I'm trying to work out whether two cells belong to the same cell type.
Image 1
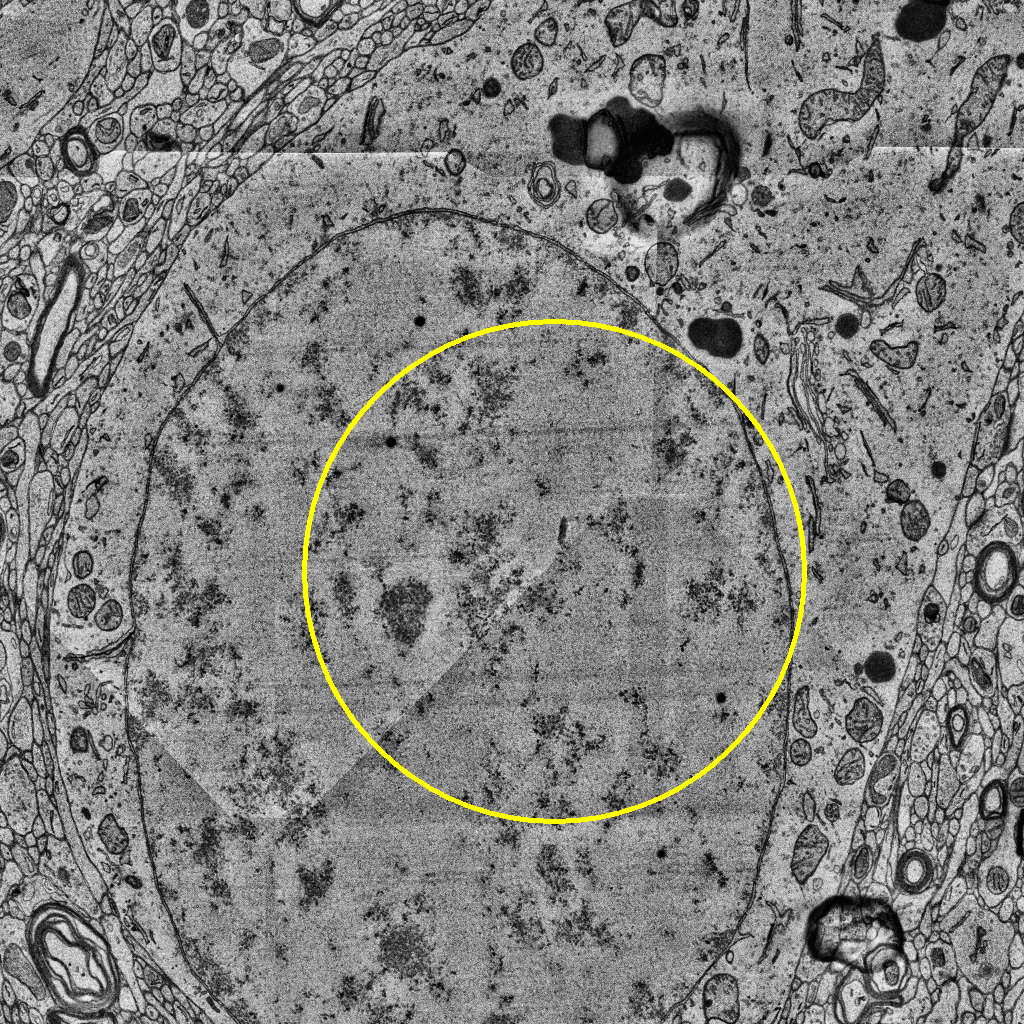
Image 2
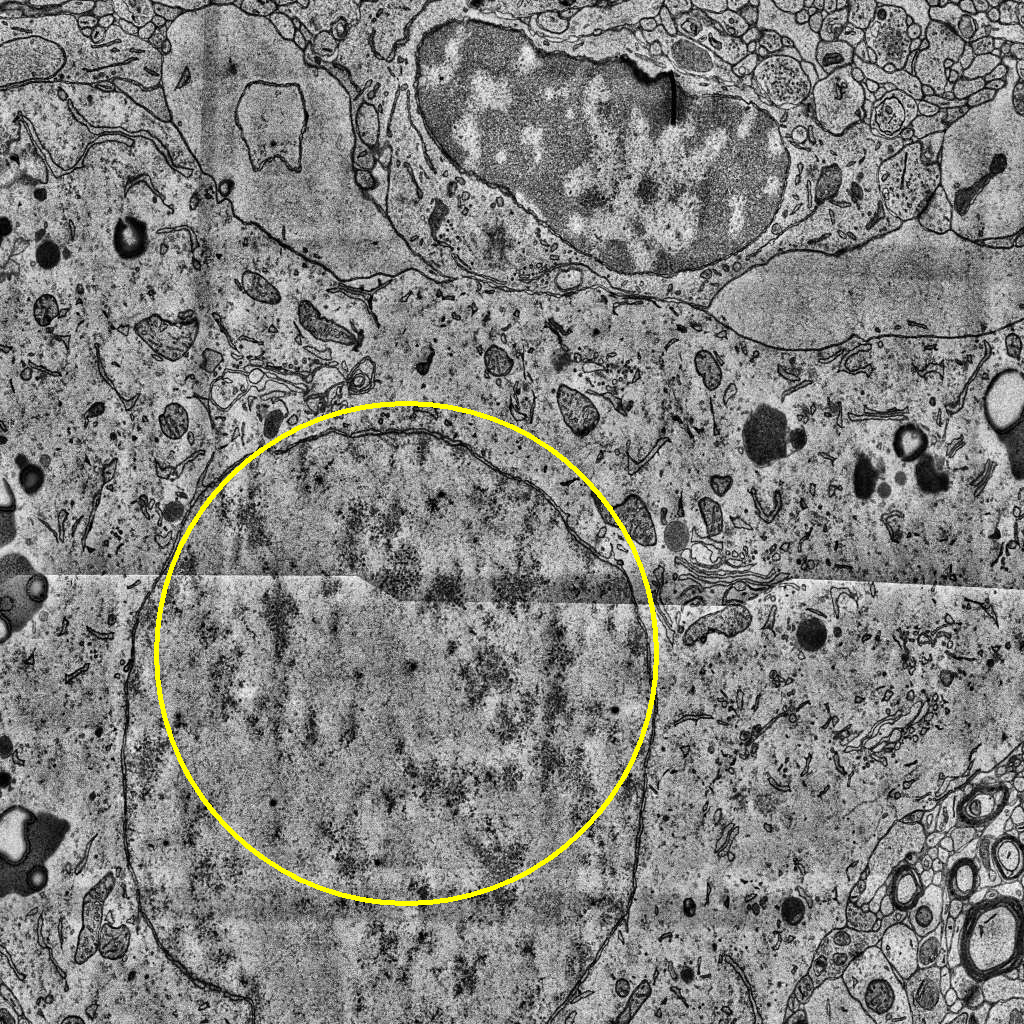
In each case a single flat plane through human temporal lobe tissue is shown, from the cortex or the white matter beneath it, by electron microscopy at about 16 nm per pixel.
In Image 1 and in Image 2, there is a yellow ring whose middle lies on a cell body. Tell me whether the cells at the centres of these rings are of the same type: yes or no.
yes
